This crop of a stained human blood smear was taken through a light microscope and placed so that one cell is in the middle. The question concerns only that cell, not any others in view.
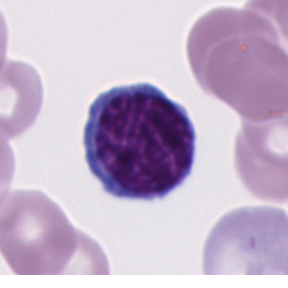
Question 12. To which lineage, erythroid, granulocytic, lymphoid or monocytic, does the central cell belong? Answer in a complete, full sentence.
The cell found in the center of the crop is of the erythroid lineage.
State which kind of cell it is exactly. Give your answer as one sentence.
The cell under consideration, at the middle of the crop, is a normoblast.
